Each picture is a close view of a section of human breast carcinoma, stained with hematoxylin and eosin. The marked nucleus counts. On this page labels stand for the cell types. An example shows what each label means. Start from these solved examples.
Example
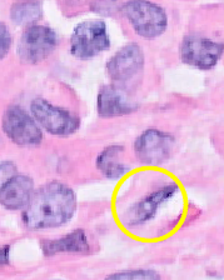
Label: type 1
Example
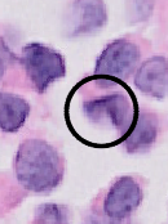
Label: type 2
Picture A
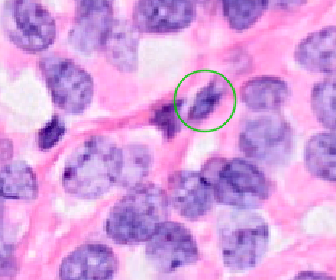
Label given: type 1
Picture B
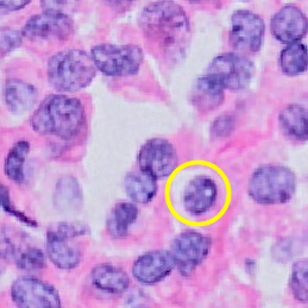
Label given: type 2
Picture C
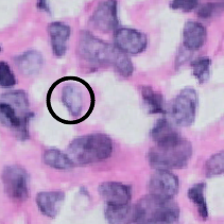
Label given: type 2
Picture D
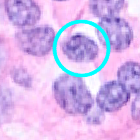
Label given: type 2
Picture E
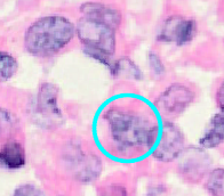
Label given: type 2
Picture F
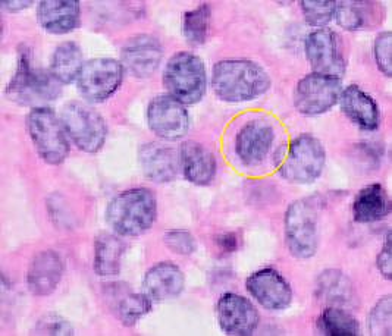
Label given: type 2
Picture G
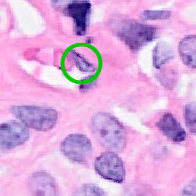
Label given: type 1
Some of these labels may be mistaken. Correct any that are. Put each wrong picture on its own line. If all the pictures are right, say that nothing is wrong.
None of the labels needs changing.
